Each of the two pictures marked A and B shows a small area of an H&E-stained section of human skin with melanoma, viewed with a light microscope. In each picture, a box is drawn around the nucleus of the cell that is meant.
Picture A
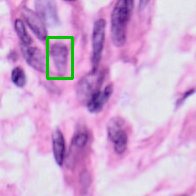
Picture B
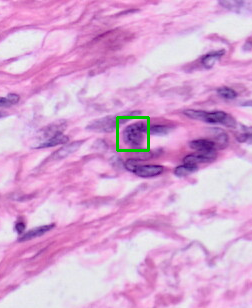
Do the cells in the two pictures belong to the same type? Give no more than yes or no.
yes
